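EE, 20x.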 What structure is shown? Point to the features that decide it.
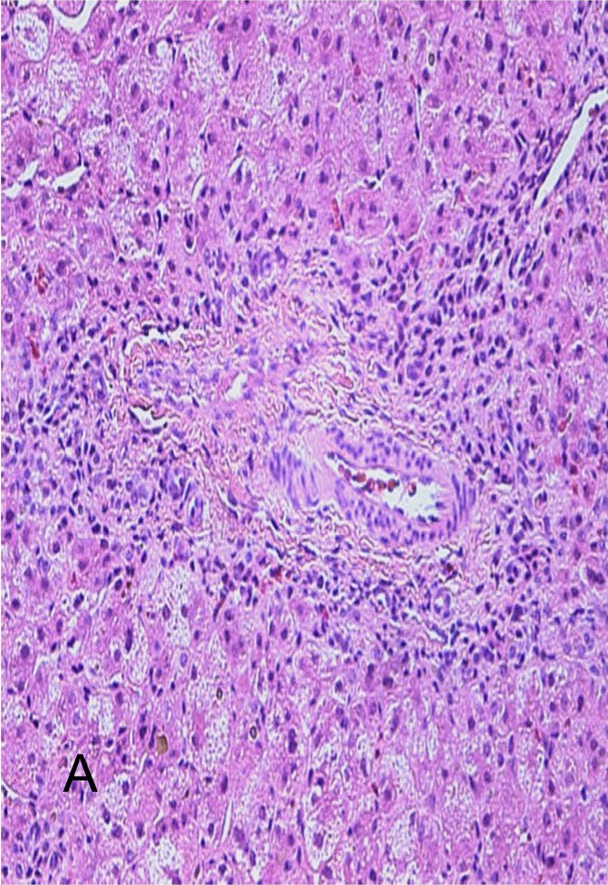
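A central band of pink fibrous connective tissue contains a thick-walled vessel with red blood cells in its lumen. Dense small dark nuclei crowd around this fibrous area. Cords of larger polygonal cells surround it on all sides.
Hence: Portal tract.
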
